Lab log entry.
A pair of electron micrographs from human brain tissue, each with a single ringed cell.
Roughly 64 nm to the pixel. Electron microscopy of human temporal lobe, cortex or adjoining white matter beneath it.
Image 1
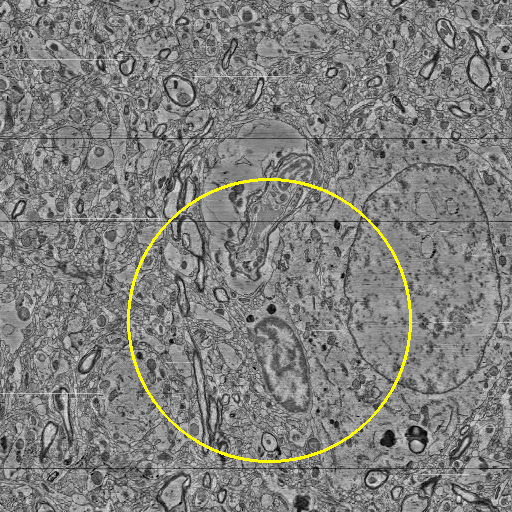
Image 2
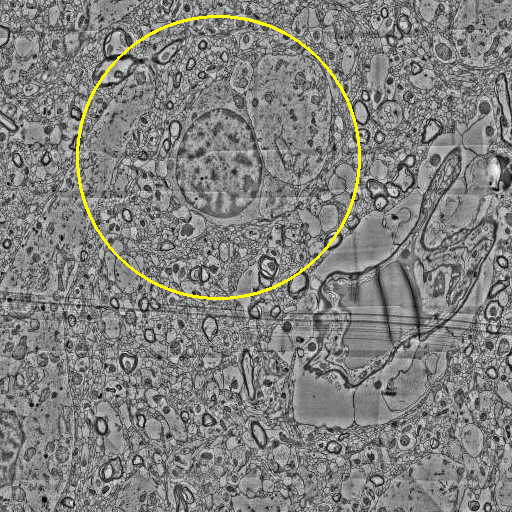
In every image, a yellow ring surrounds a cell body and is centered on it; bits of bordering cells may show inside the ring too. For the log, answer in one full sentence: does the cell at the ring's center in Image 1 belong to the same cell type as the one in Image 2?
Yes, the cells at the ring centers in Image 1 and Image 2 share one type.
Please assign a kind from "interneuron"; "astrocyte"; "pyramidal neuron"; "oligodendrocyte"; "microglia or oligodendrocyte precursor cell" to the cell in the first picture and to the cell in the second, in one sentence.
Both pictures show an oligodendrocyte at the centre of the ring.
